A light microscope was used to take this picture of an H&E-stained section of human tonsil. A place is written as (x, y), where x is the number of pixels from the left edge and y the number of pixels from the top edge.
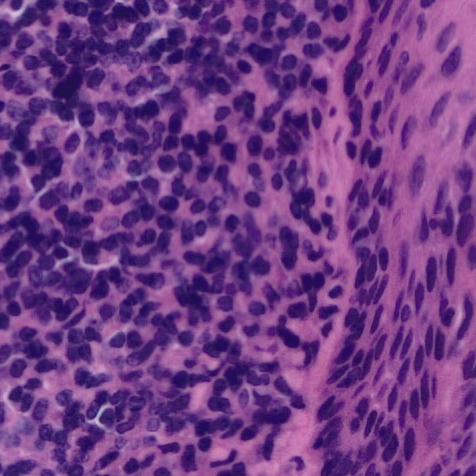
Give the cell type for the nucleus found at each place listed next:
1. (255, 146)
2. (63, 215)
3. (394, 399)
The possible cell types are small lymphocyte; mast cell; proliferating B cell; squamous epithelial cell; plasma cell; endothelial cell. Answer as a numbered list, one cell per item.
1. plasma cell
2. small lymphocyte
3. squamous epithelial cell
